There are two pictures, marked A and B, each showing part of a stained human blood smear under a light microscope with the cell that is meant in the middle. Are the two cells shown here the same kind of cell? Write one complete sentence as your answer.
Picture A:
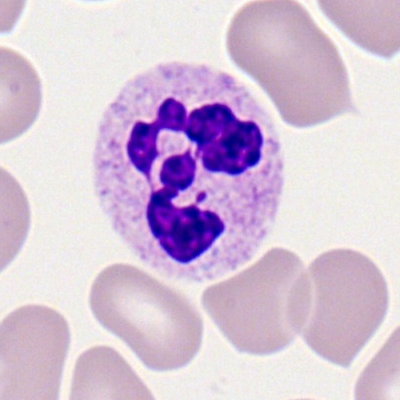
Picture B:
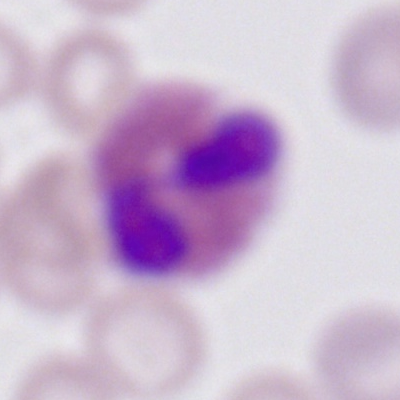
No, the types are not the same, since picture A shows a segmented neutrophil and picture B an eosinophil.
